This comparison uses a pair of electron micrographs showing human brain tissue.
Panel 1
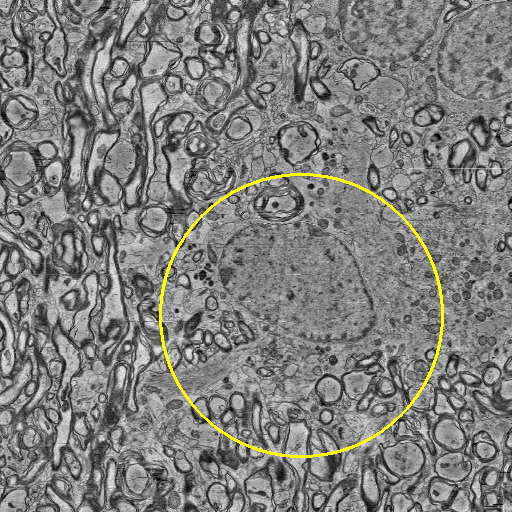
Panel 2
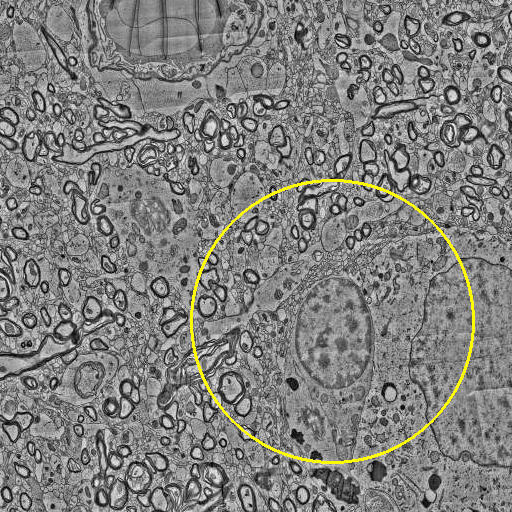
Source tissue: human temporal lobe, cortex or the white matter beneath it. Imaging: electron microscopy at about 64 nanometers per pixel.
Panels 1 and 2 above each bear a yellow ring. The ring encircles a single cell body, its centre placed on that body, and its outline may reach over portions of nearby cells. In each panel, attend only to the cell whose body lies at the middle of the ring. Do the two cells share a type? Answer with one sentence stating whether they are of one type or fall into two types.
In Panel 1 and Panel 2, the cells at the centres of the rings fall into two types.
